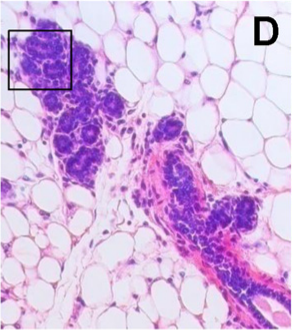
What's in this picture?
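Mammary gland tissue in which small duct and lobular structures lie within a field of adipocytes. The adipocytes are large, round to polygonal, and appear empty, with only thin pink rims of cytoplasm and membrane. The epithelial structures form compact clusters and a short duct of densely packed cells with dark purple nuclei. A band of pink fibrous stroma with elongated cells runs alongside the duct. The epithelial clusters are small and well delimited, with no sheets of cells spreading into the fat.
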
